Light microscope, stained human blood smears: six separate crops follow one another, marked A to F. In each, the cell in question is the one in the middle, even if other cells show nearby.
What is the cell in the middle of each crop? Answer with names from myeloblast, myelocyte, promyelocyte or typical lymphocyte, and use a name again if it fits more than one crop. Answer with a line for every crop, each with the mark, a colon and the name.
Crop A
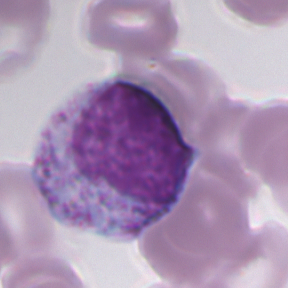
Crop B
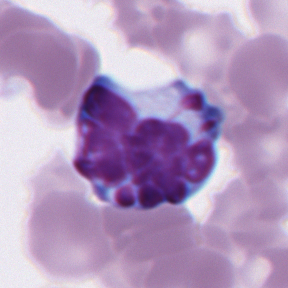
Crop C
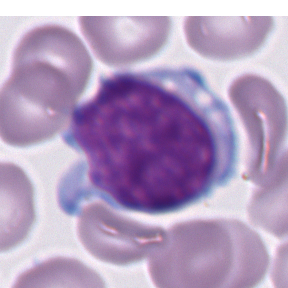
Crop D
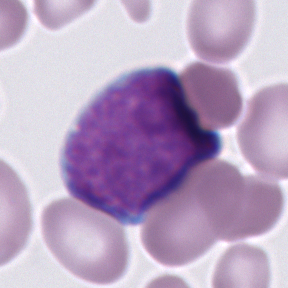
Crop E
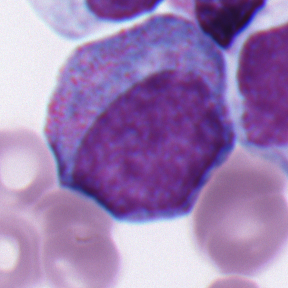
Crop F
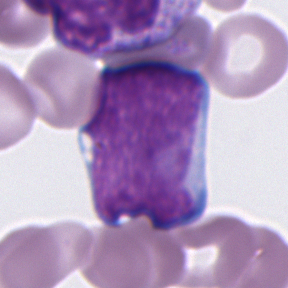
A: myelocyte
B: typical lymphocyte
C: myeloblast
D: myeloblast
E: promyelocyte
F: myeloblast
